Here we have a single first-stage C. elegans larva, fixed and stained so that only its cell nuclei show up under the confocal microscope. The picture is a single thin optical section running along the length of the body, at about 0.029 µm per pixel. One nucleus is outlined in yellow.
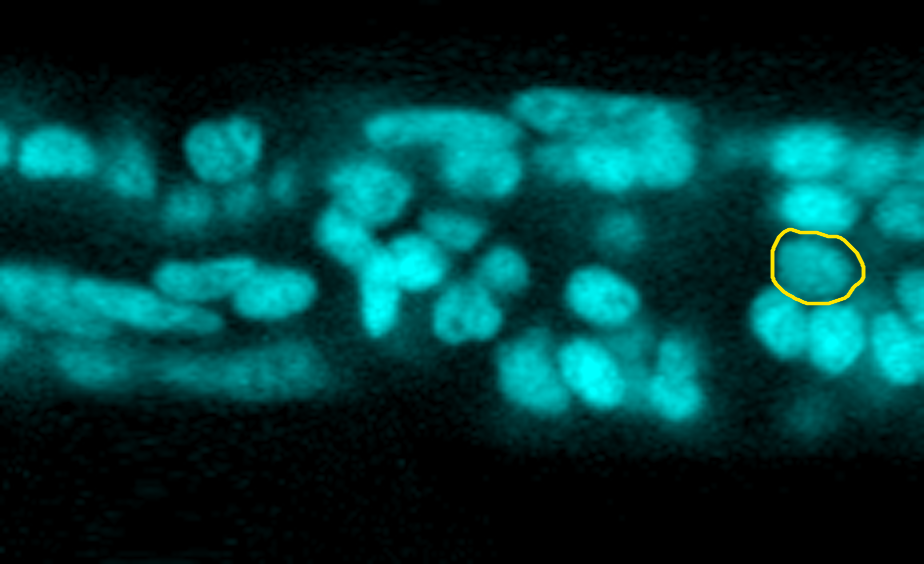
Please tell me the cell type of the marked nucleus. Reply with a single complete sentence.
It is the nucleus of a GLR cell.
